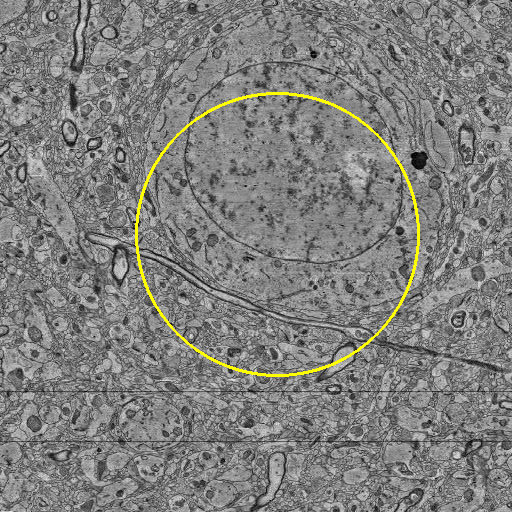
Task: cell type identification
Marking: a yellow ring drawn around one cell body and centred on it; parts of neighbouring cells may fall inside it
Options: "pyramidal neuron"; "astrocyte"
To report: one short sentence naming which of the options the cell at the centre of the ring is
The cell at the centre of the ring is a pyramidal neuron.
